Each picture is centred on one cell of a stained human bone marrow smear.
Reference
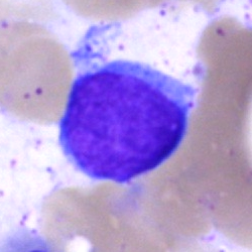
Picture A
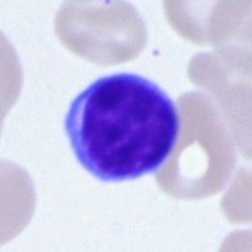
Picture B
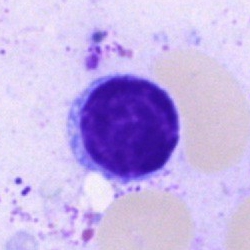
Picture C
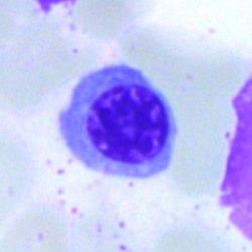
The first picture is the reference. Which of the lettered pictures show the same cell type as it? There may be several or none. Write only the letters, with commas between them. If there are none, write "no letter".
A, B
